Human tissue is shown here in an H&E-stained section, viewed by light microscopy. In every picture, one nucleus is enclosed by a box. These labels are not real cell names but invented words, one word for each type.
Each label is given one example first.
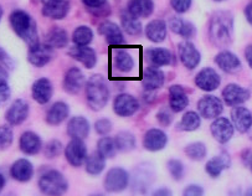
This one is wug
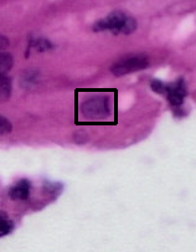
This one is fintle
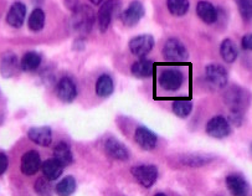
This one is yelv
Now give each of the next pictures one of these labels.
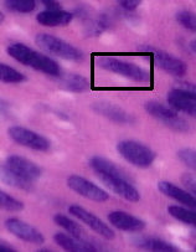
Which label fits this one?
fintle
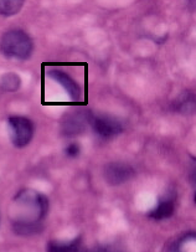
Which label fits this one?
fintle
